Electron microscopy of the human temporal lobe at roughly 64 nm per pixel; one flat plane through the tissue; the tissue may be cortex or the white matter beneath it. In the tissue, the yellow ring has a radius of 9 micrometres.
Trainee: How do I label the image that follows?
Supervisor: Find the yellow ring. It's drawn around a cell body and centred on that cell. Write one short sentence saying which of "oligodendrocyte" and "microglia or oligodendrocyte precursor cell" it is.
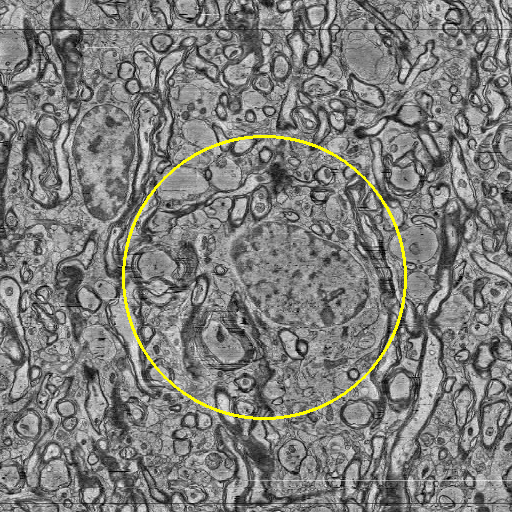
This is the cell body of a microglial cell or oligodendrocyte precursor cell.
